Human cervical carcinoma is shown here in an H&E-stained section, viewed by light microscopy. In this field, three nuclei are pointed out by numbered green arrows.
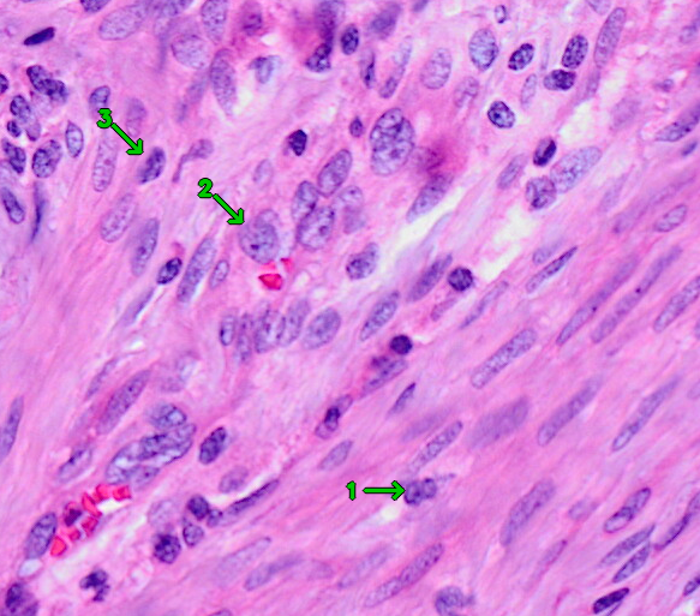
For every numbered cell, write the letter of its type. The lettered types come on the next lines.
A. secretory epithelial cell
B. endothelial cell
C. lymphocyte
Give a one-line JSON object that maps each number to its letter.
{"1": "C", "2": "B", "3": "C"}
